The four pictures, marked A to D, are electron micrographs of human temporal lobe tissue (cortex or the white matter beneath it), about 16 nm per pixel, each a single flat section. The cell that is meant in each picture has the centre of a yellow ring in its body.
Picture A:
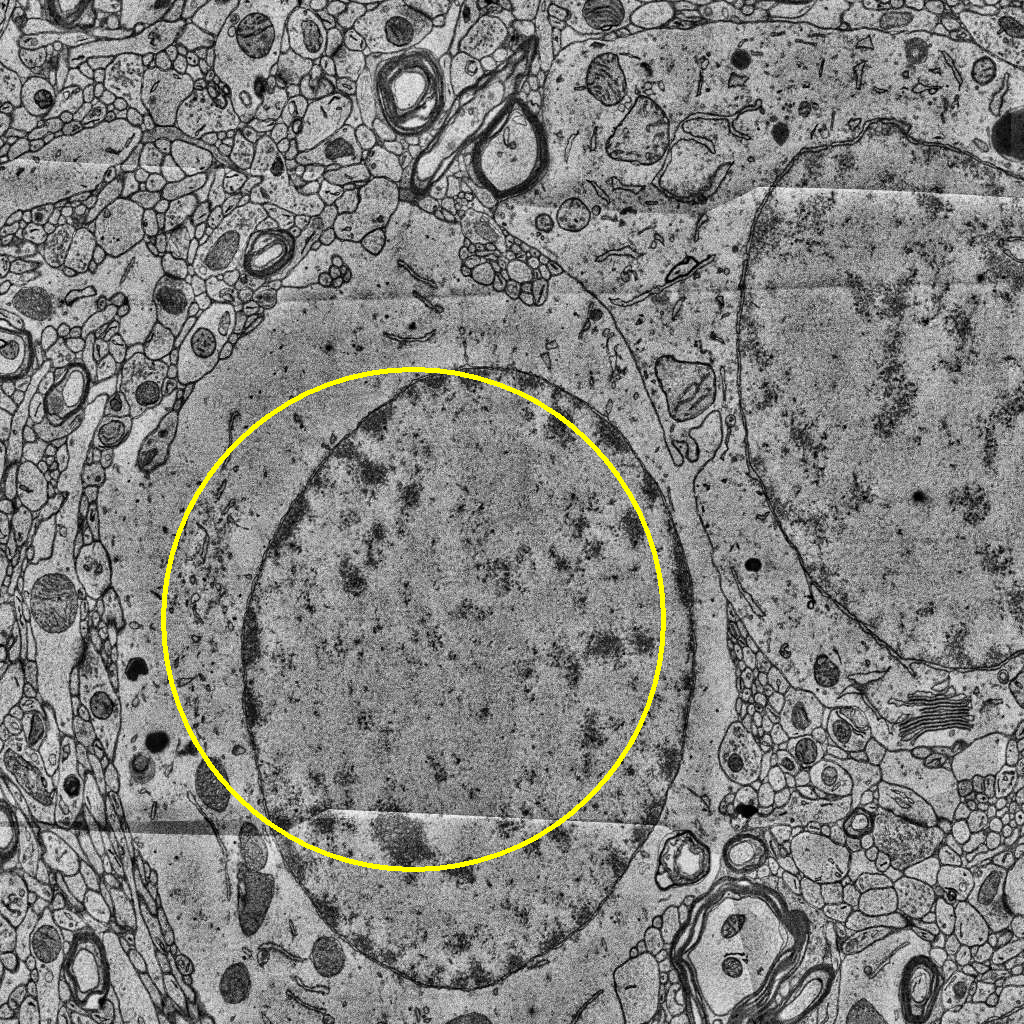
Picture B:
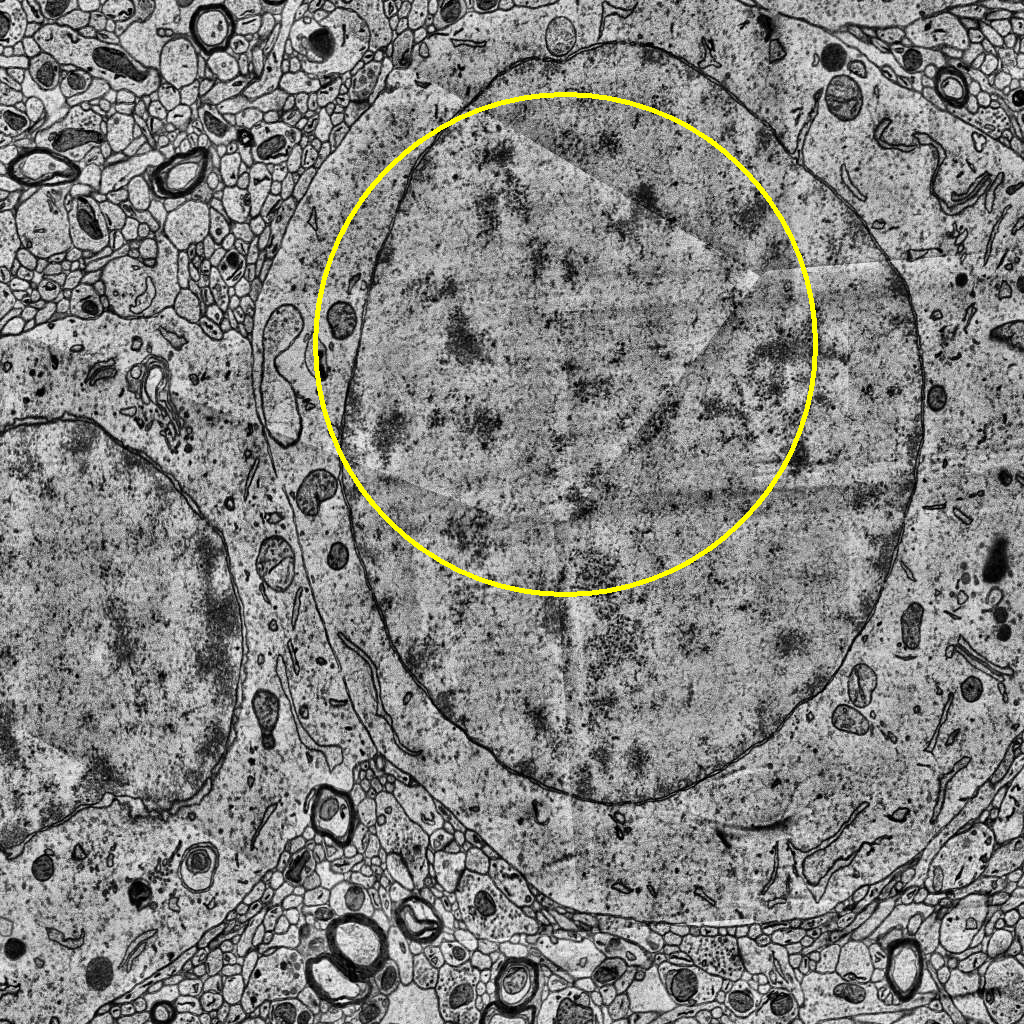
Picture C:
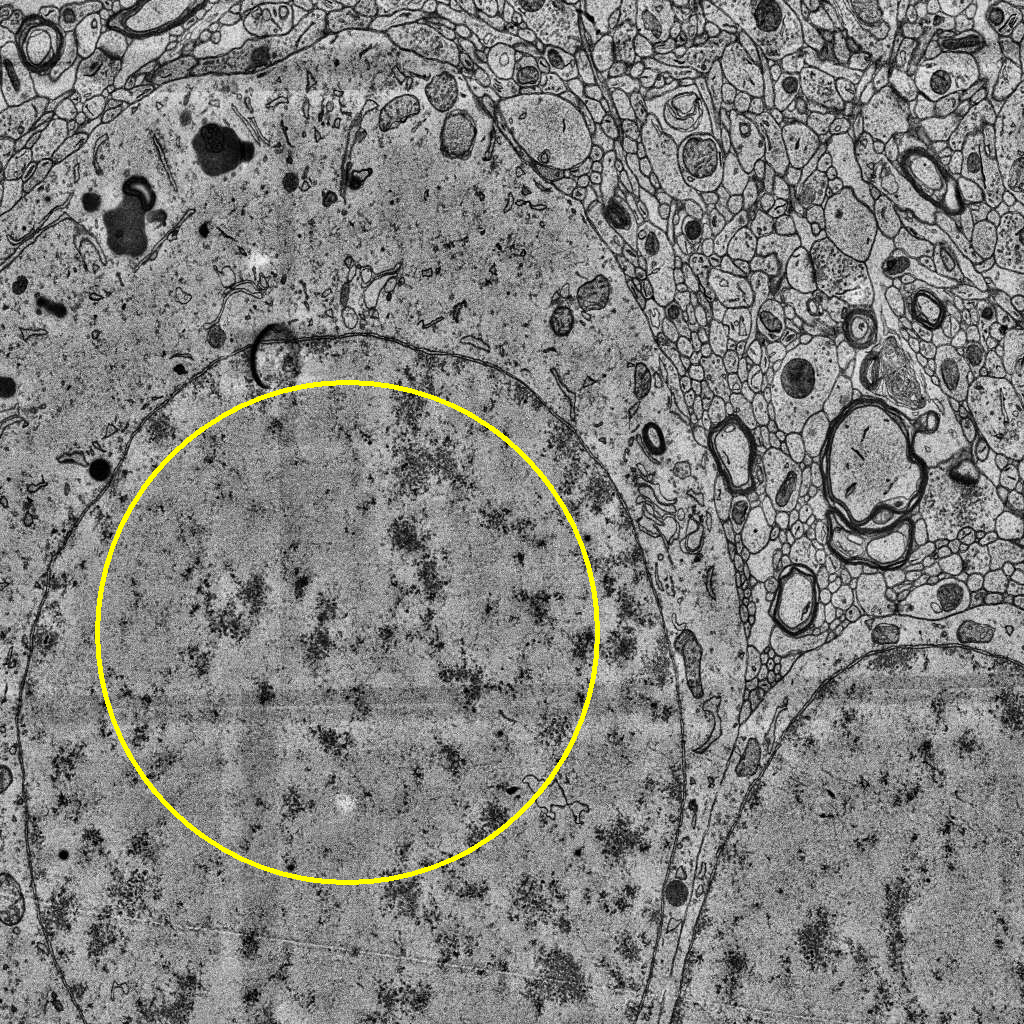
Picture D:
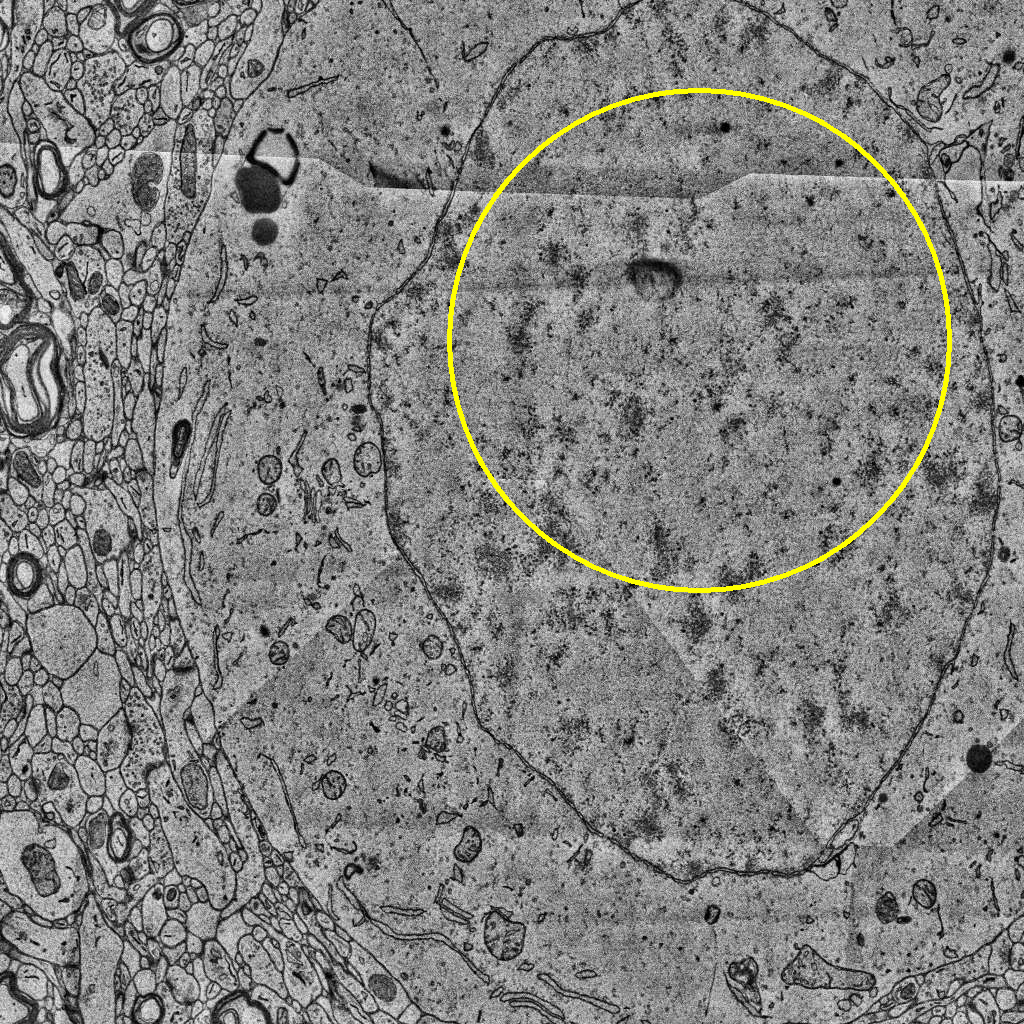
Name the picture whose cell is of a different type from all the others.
The others show pyramidal neurons, but picture A shows an astrocyte.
